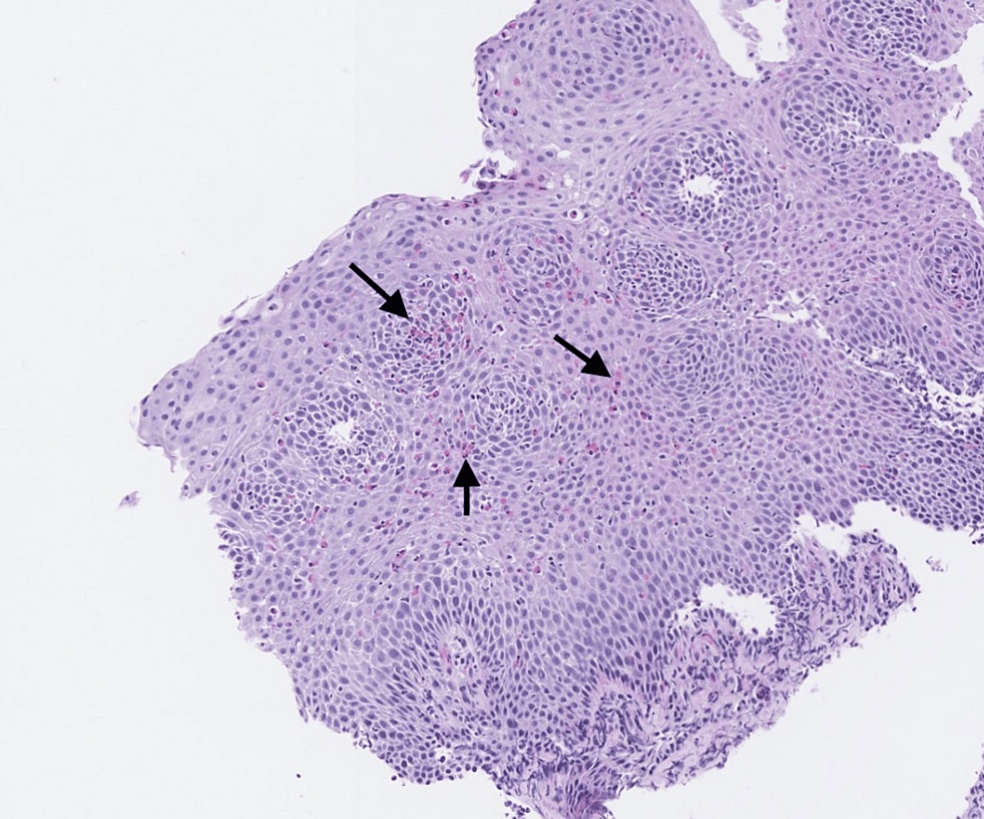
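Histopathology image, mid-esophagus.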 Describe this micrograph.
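Stratified squamous epithelium, many cells thick, made of closely packed polygonal cells with round to oval purple nuclei and pale pink cytoplasm, flattening toward the surface. Cores of connective tissue cut across appear as whorled islands within the epithelium, and a strip of stroma lies at the lower edge. Numerous small cells with bright pink-red cytoplasm are scattered between the epithelial cells, gathered mostly in the upper and middle levels of the epithelium.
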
